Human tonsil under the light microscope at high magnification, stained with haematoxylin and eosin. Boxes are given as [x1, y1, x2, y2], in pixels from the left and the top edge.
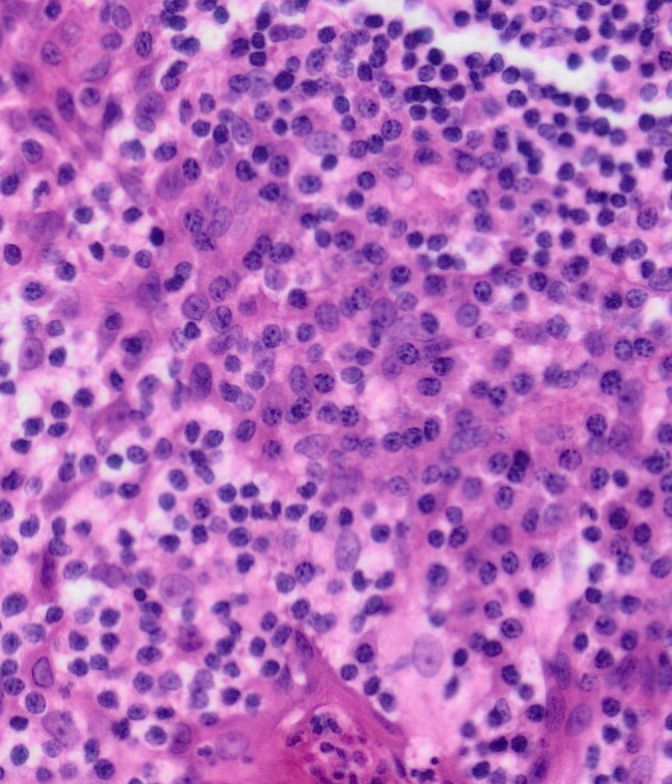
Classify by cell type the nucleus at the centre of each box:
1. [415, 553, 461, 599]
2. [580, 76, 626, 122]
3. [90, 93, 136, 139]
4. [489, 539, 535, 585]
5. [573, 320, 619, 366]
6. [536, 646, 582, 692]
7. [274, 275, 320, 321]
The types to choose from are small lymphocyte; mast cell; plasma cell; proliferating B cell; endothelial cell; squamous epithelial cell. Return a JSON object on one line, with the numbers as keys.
{"1": "plasma cell", "2": "small lymphocyte", "3": "squamous epithelial cell", "4": "plasma cell", "5": "squamous epithelial cell", "6": "squamous epithelial cell", "7": "plasma cell"}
